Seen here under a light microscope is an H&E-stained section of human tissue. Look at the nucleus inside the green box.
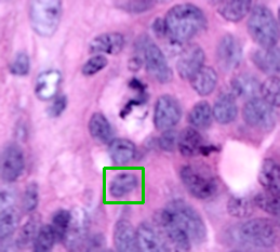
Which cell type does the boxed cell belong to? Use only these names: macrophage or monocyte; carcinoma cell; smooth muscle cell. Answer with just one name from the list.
macrophage or monocyte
